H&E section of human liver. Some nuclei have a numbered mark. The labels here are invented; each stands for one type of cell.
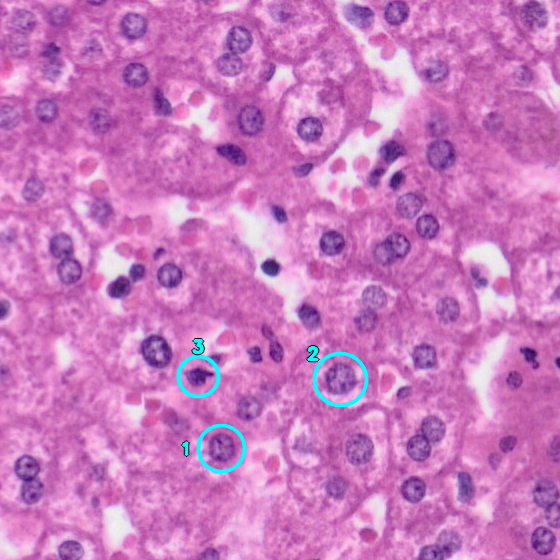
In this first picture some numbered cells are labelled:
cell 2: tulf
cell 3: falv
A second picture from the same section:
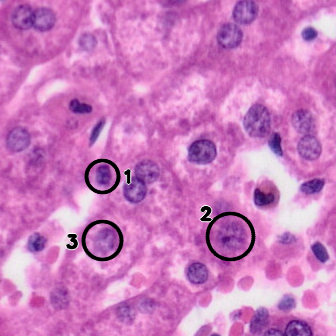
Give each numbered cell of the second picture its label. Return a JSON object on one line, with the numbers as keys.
{"1": "falv", "2": "tulf", "3": "tulf"}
